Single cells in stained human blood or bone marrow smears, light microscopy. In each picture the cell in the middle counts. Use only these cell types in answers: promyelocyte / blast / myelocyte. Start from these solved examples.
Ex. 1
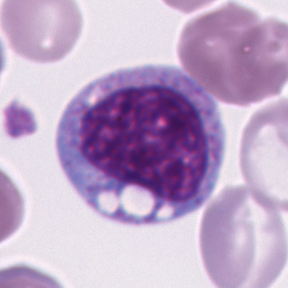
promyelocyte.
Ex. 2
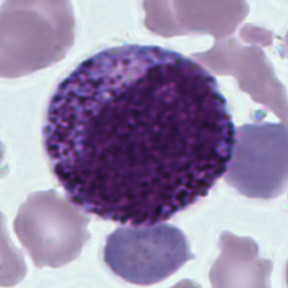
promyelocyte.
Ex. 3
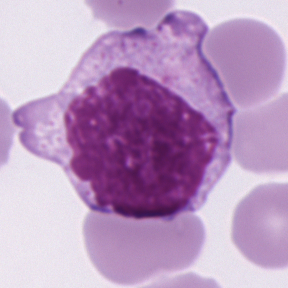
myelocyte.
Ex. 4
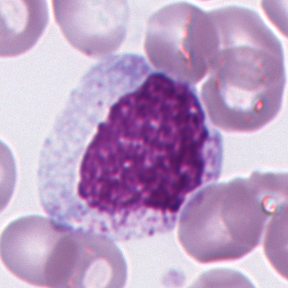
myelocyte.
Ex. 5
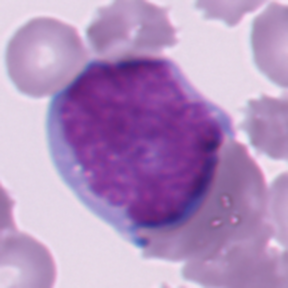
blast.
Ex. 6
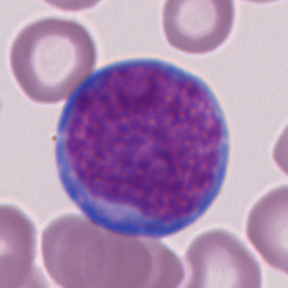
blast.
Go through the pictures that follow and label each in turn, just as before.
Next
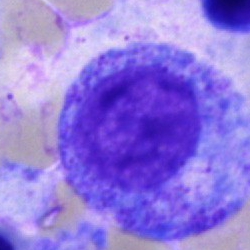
promyelocyte.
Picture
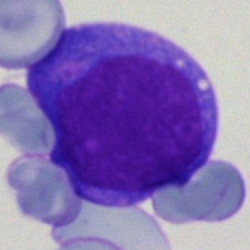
blast.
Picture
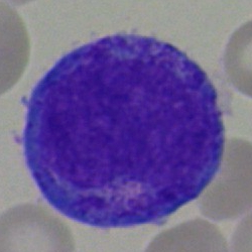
promyelocyte.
